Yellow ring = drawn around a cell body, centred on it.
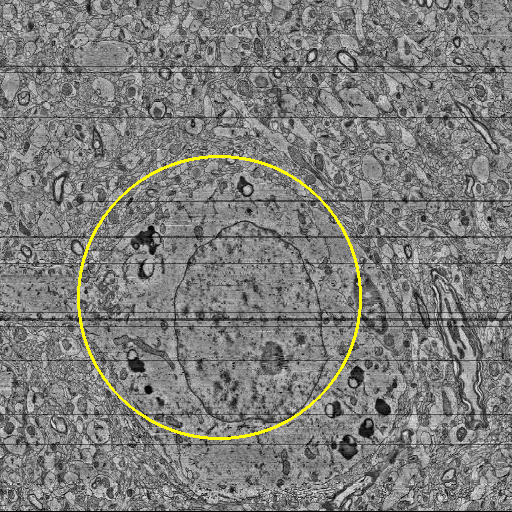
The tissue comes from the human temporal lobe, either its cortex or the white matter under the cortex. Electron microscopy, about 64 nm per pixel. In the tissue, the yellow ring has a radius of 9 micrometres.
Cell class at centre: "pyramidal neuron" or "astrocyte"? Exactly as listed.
pyramidal neuron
